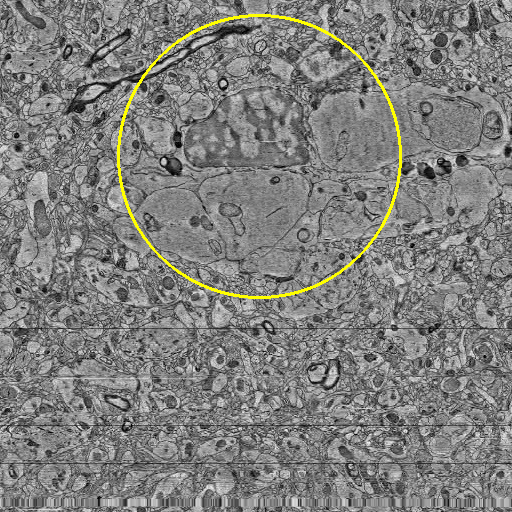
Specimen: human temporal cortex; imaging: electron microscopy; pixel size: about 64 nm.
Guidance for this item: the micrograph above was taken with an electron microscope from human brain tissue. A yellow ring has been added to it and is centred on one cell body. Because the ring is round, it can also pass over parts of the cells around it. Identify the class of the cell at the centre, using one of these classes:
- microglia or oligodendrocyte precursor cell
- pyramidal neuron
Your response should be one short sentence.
The ring surrounds the body of a microglial cell or oligodendrocyte precursor cell.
